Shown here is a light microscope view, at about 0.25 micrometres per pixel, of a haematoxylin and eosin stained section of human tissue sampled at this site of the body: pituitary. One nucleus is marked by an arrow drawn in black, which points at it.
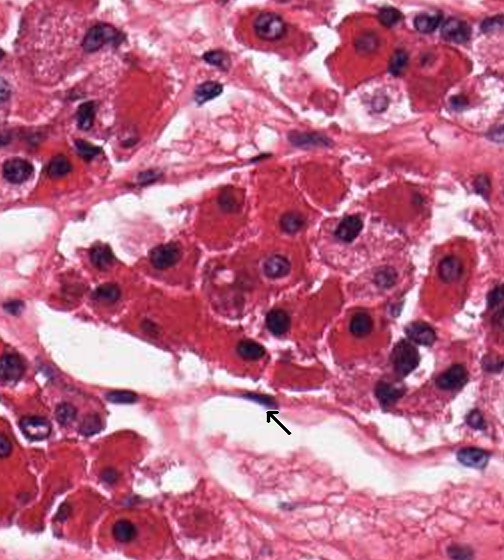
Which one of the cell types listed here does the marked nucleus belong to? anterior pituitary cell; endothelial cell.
endothelial cell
